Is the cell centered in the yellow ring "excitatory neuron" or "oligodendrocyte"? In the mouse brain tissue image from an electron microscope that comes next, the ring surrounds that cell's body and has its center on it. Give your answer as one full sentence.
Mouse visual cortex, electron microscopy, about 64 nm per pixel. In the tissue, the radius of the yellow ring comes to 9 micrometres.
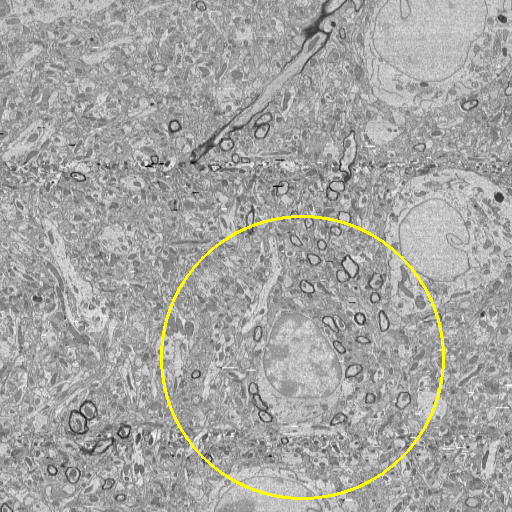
The cell at the center of the yellow ring is an oligodendrocyte in the micrograph.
